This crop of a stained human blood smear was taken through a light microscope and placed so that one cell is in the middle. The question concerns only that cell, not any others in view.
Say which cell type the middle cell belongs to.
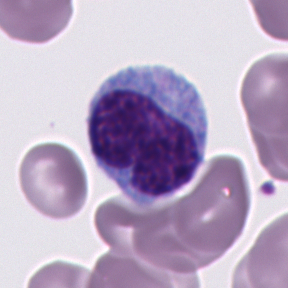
monocyte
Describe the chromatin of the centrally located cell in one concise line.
The chromatin of this one is coarsely clumped.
